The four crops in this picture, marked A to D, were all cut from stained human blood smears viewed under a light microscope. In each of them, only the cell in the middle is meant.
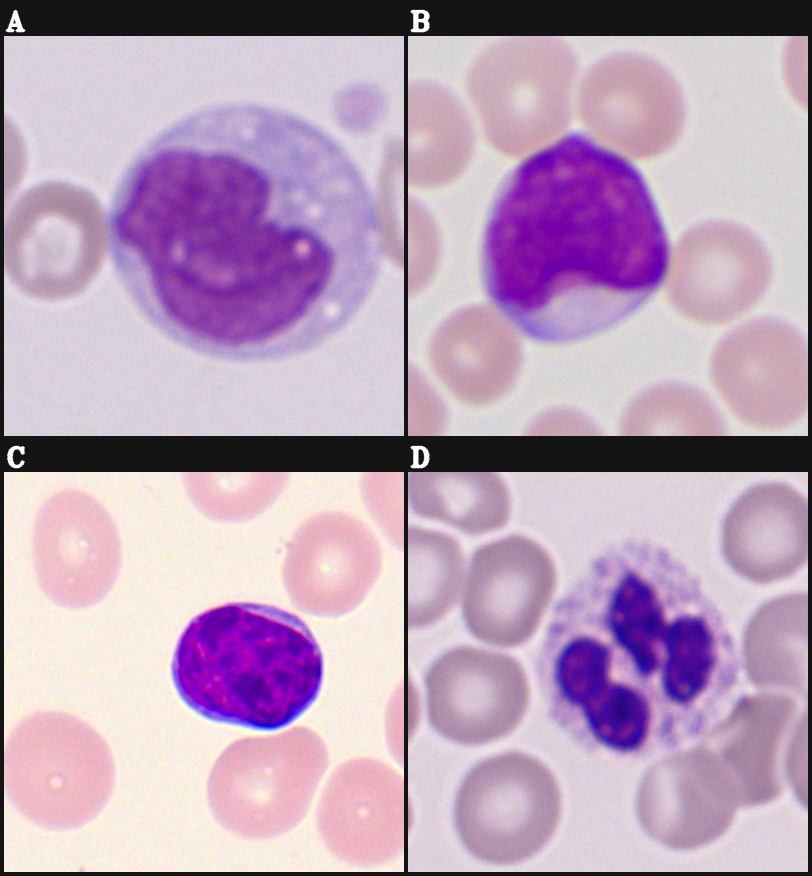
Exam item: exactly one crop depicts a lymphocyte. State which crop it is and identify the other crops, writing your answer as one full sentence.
With respect to crop C, the cell is a lymphocyte, whereas crop A is a monocyte, crop B is a myeloblast and crop D is a segmented neutrophil.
